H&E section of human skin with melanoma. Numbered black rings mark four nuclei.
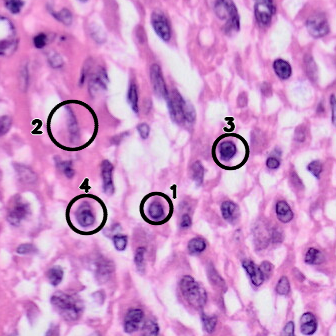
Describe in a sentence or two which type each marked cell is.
Cells 1 and 4 are macrophages or monocytes. Cell 2 is an endothelial cell. Cell 3 is a lymphocyte.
